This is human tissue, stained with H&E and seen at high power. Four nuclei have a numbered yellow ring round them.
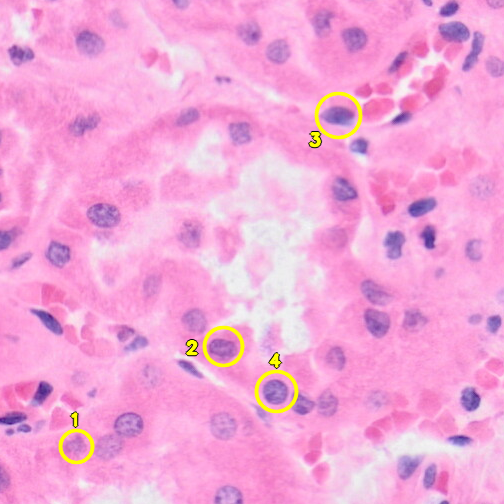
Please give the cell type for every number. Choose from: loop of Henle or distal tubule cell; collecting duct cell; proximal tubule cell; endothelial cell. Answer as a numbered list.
1. proximal tubule cell
2. proximal tubule cell
3. endothelial cell
4. proximal tubule cell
